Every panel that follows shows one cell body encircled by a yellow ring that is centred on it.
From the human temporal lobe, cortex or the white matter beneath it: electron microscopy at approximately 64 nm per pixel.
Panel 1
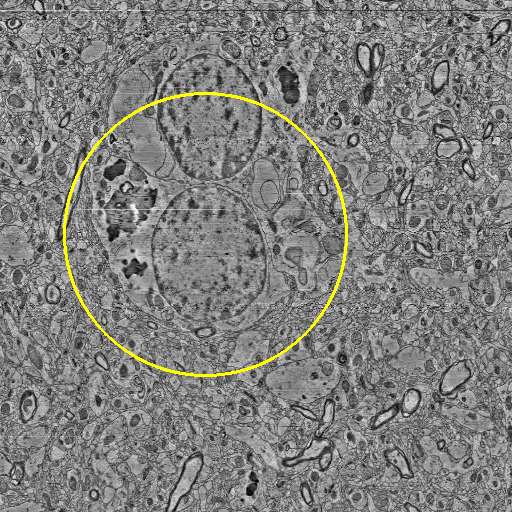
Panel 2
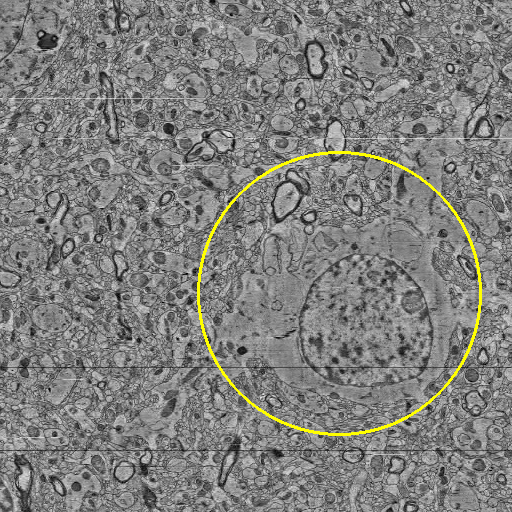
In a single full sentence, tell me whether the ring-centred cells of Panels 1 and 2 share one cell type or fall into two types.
In Panel 1 and Panel 2, the cells at the ring centres share one cell type.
